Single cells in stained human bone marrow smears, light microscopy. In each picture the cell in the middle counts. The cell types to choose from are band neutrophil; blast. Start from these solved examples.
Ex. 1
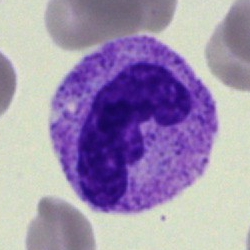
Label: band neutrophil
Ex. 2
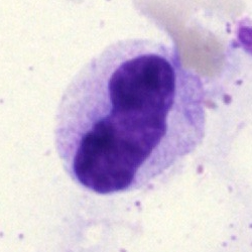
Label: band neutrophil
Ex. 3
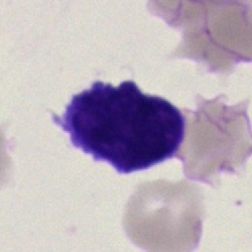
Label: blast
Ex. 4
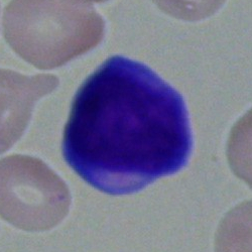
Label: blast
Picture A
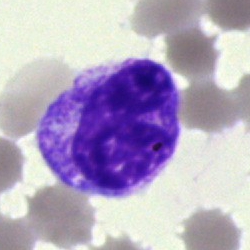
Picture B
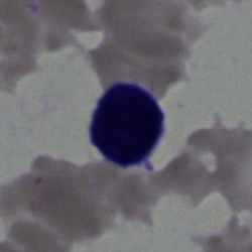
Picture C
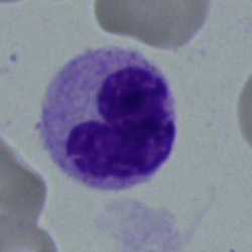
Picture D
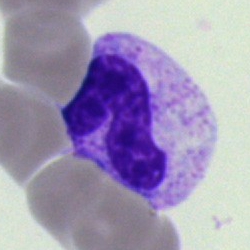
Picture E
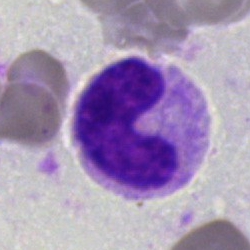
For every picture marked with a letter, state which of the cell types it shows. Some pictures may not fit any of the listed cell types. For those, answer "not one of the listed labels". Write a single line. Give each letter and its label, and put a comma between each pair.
A band neutrophil, B not one of the listed labels, C band neutrophil, D band neutrophil, E band neutrophil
